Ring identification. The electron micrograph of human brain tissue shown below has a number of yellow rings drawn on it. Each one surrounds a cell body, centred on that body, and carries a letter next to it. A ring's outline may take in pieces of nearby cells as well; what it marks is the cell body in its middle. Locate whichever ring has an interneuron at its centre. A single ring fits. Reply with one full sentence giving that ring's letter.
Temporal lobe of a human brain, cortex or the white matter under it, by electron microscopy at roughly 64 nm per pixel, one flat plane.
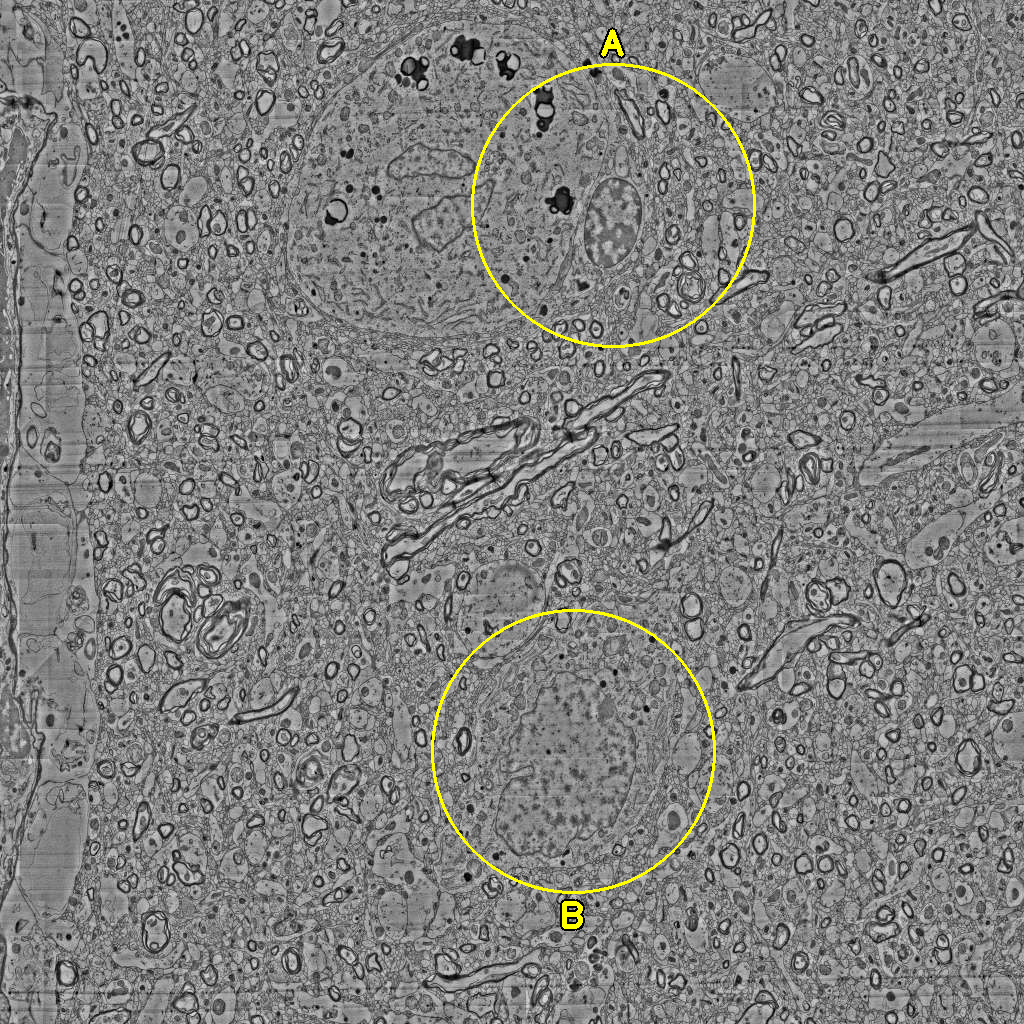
The letter B belongs to the ring centred on a cell of that kind.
